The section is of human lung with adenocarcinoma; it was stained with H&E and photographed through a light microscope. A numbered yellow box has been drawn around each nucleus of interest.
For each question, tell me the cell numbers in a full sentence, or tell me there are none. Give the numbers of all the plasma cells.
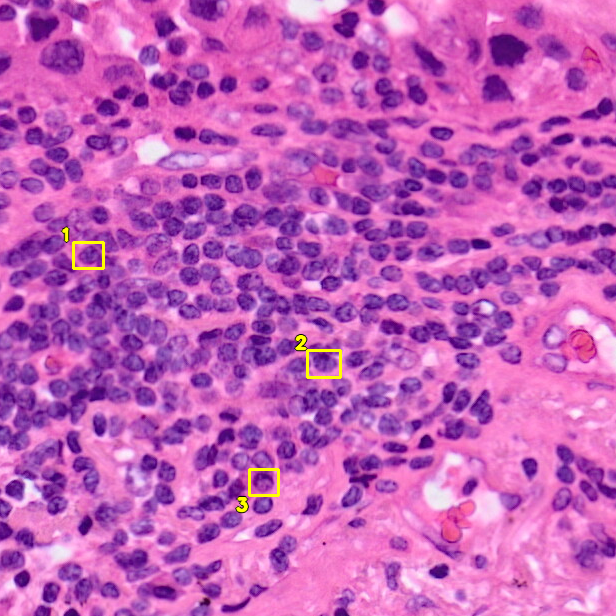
A single numbered cell, cell 3, is a plasma cell.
